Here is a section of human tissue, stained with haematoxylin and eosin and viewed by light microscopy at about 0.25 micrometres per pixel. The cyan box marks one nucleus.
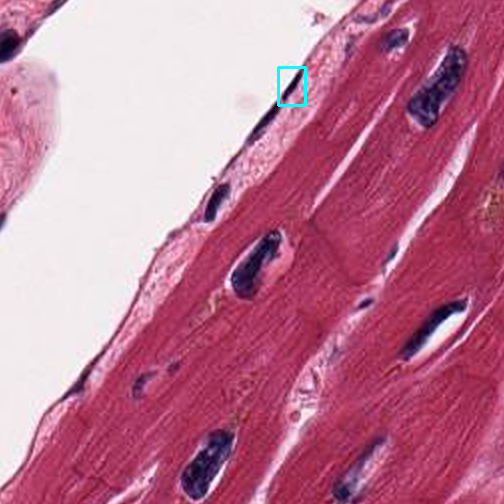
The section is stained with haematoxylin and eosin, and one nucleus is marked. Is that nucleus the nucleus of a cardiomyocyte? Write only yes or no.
no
